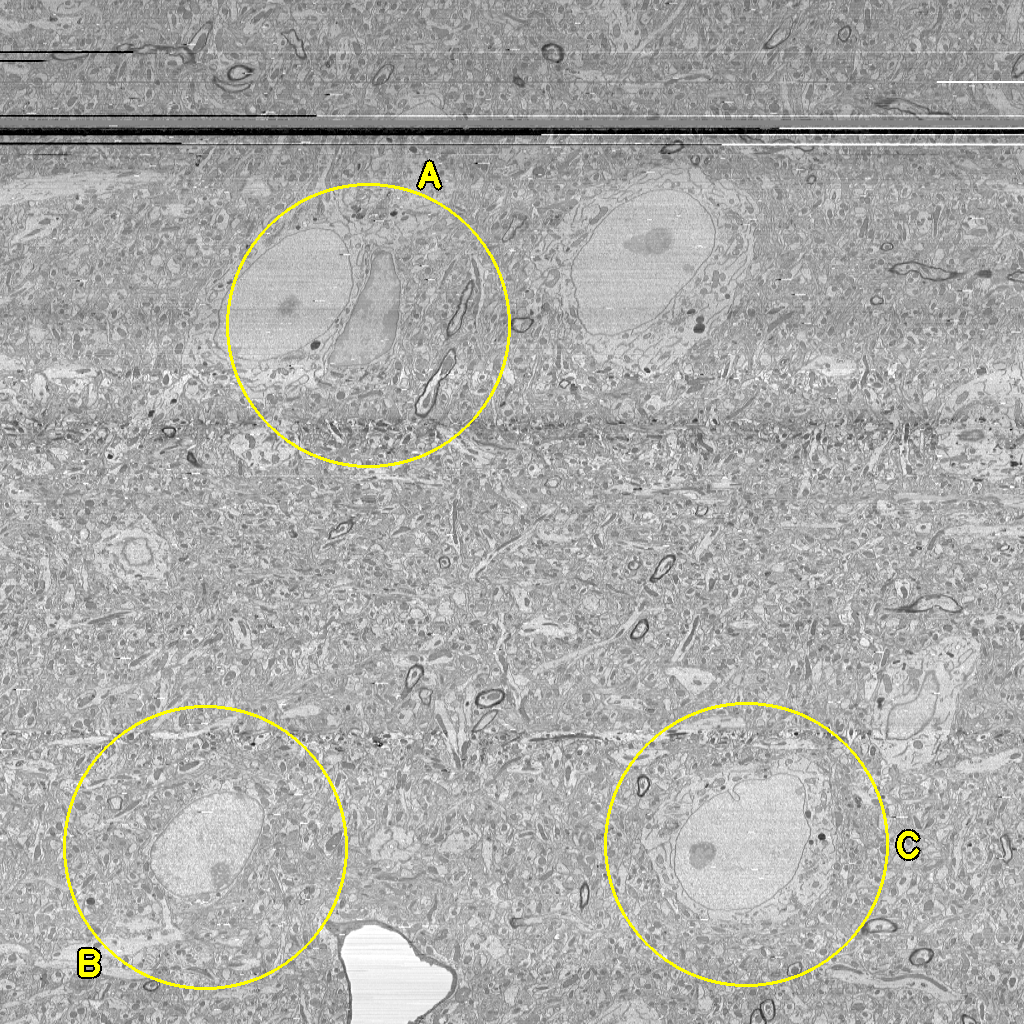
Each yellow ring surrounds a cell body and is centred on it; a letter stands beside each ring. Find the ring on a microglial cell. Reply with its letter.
A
